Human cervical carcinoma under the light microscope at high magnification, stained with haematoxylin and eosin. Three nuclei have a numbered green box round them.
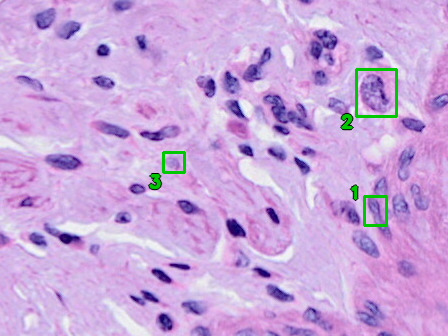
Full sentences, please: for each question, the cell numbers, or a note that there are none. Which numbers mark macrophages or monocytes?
Only the cell carrying number 2 is a macrophage or monocyte.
